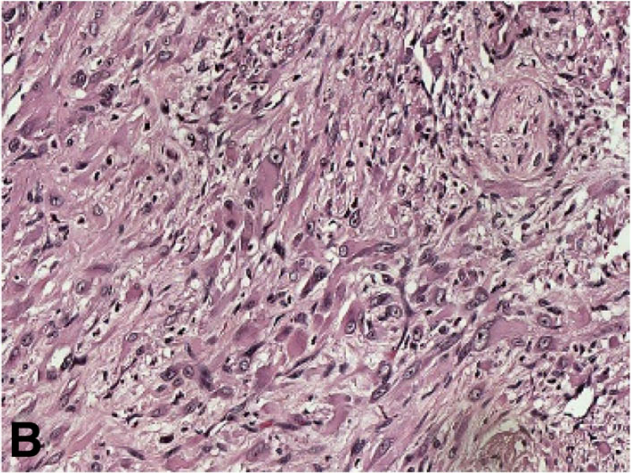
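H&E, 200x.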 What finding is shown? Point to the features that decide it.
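Many cells have abundant bright pink cytoplasm. Some cells are plump or strap-like with eccentric round nuclei. Several nuclei show visible nucleoli. So: Rhabdomyoblast-like appearance of tumor cells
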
